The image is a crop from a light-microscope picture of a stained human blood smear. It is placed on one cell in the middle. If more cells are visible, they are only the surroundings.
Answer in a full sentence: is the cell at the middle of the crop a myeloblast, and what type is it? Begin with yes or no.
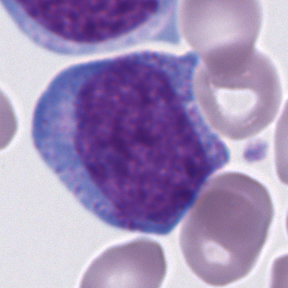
No; rather than a myeloblast, the cell at the center is a promyelocyte.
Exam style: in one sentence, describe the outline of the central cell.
The margin of this cell is irregular, showing raggedness or projections instead of smoothness.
